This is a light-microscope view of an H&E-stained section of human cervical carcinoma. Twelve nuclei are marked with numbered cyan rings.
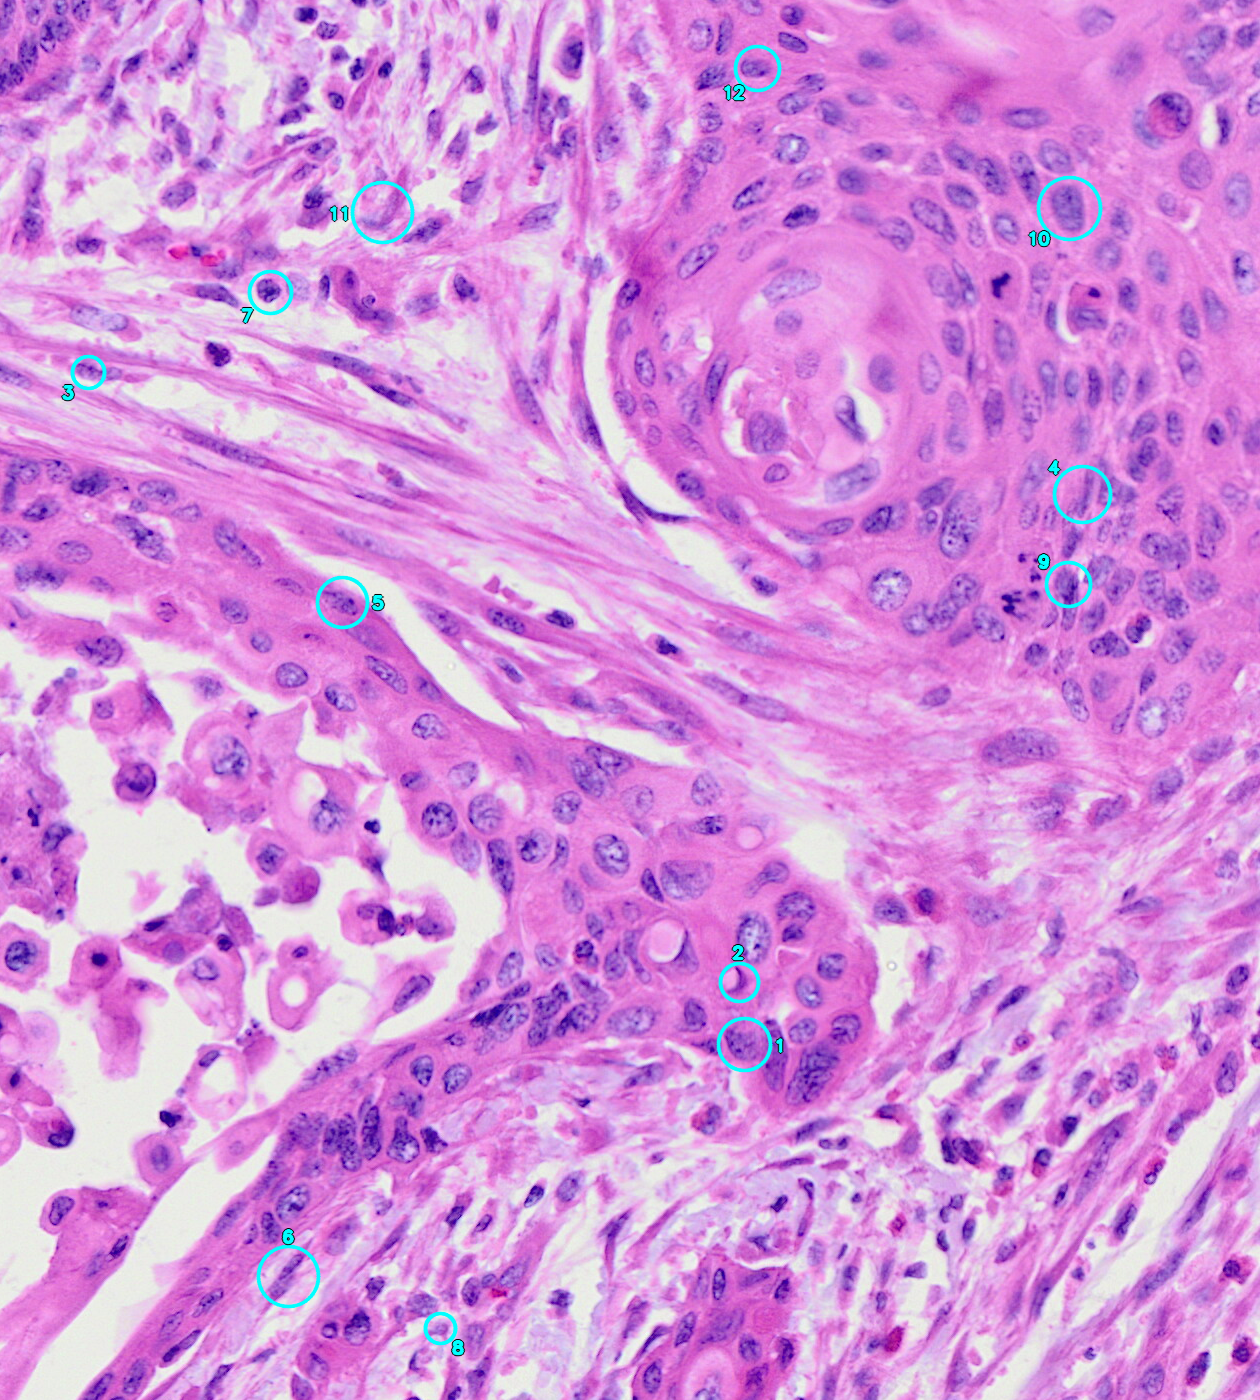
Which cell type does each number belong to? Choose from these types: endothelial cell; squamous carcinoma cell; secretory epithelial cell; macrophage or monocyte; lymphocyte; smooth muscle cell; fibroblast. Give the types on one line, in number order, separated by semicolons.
squamous carcinoma cell; squamous carcinoma cell; macrophage or monocyte; squamous carcinoma cell; squamous carcinoma cell; fibroblast; lymphocyte; fibroblast; squamous carcinoma cell; squamous carcinoma cell; fibroblast; squamous carcinoma cell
